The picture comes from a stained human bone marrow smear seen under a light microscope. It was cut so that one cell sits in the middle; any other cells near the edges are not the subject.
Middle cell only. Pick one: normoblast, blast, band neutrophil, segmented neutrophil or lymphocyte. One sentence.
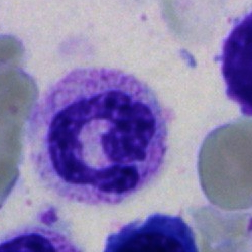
The cell in the middle of this crop is a segmented neutrophil.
